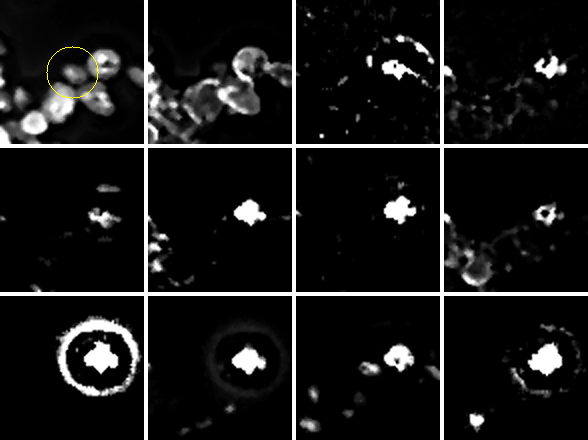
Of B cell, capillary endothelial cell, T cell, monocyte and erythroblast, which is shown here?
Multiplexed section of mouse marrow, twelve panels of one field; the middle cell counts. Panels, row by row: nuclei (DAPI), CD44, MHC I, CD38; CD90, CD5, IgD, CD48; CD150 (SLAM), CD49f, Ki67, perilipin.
erythroblast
